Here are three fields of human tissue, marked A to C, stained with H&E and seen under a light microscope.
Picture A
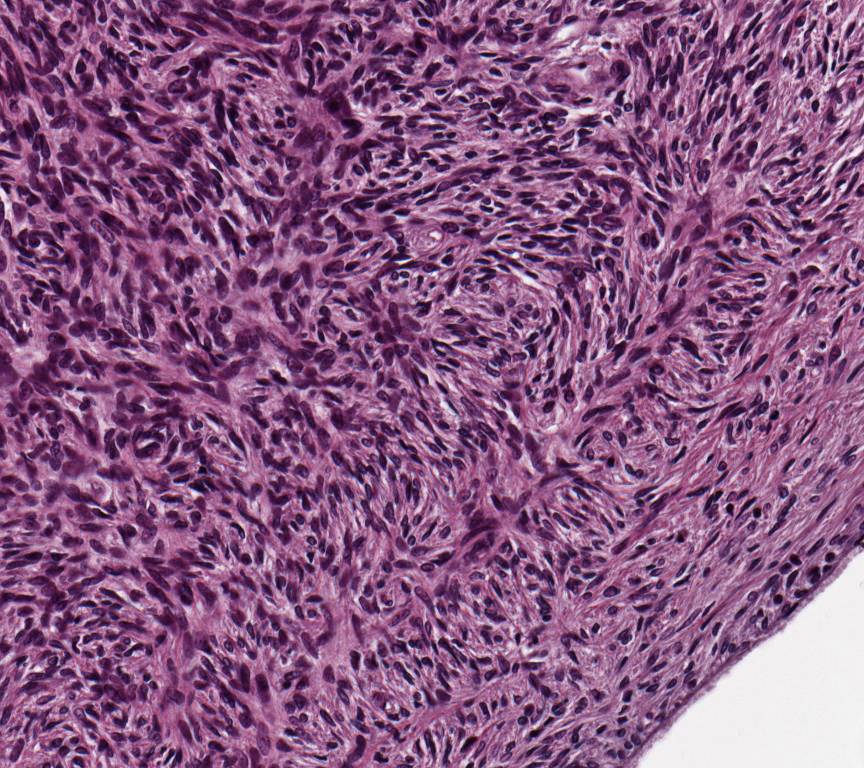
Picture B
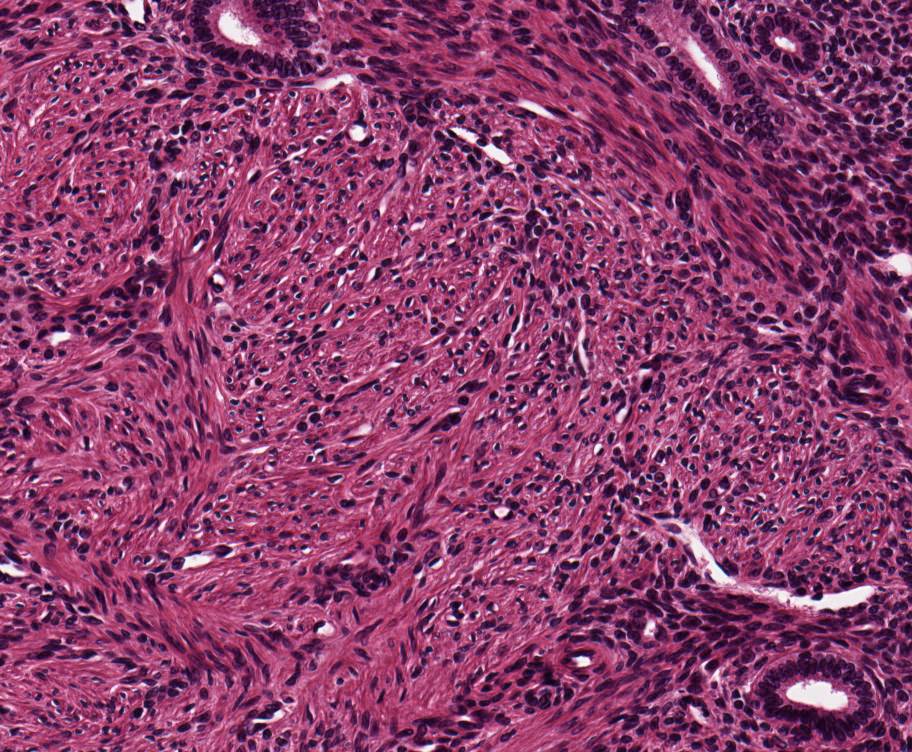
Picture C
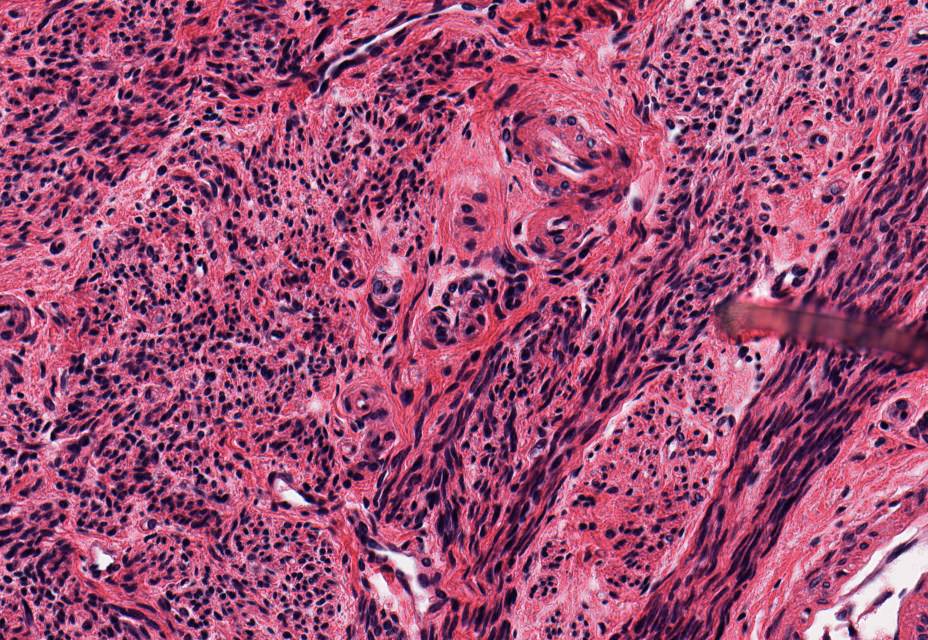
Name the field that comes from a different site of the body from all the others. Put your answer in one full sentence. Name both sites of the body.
All pictures except A come from the body of the uterus; picture A comes from the ovary.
